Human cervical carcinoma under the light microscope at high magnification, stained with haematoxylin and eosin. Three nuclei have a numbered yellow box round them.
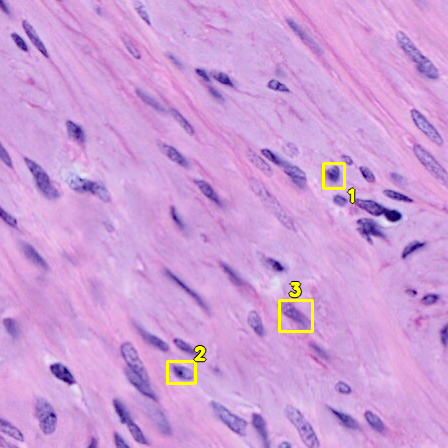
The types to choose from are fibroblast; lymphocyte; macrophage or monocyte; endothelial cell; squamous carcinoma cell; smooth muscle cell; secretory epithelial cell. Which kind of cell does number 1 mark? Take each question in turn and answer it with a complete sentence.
Heads up, the cell numbered 1 is a fibroblast.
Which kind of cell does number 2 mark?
The numbered cell 2 is identified here as a fibroblast.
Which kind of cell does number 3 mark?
Cell 3 in the field of view is a smooth muscle cell.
